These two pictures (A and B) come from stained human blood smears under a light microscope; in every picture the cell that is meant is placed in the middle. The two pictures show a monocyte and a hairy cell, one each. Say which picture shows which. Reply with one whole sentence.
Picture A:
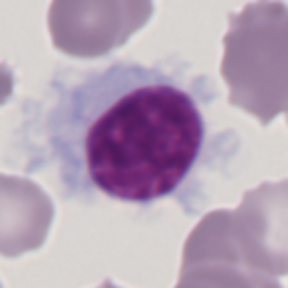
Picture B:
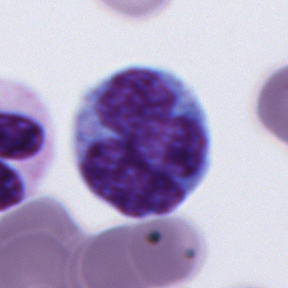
Picture A is of a hairy cell, and picture B is of a monocyte.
